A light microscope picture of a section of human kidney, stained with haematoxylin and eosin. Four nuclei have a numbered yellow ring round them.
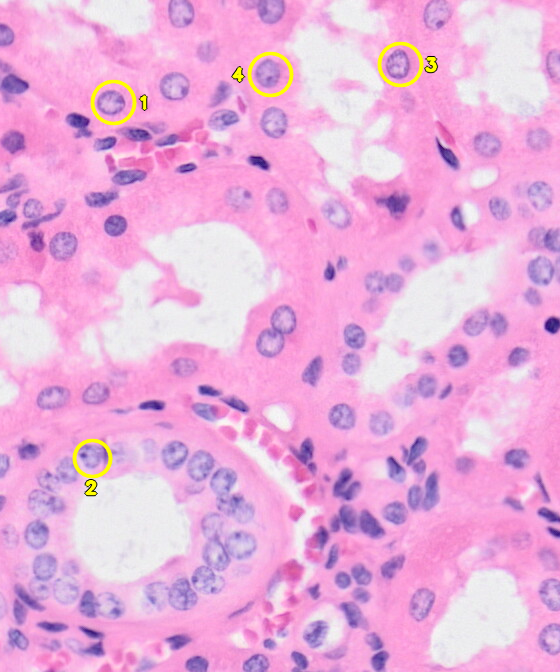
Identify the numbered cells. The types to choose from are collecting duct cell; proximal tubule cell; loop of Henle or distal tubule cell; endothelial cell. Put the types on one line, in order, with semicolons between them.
proximal tubule cell; collecting duct cell; proximal tubule cell; proximal tubule cell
